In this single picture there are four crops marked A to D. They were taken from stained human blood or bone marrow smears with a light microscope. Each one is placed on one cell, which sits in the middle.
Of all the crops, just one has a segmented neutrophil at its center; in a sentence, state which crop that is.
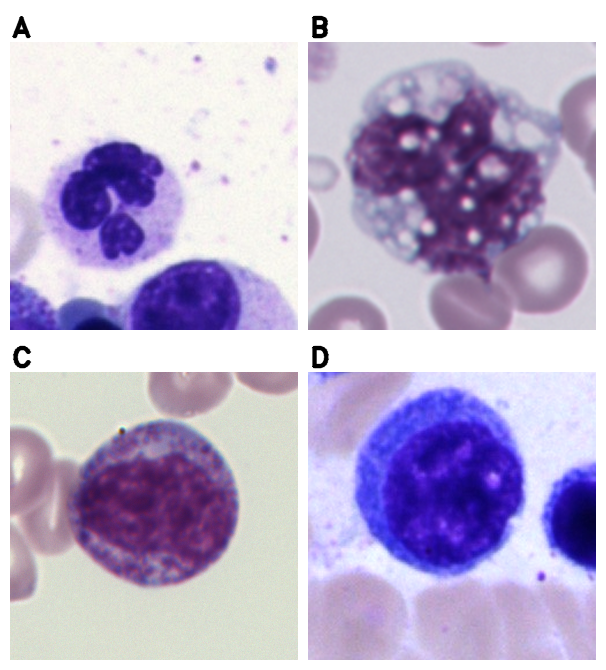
Crop A is the correct crop, and it shows a segmented neutrophil.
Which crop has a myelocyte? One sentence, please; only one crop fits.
Among the crops provided, a myelocyte occupies the center of crop C.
